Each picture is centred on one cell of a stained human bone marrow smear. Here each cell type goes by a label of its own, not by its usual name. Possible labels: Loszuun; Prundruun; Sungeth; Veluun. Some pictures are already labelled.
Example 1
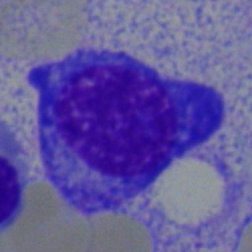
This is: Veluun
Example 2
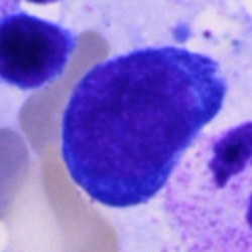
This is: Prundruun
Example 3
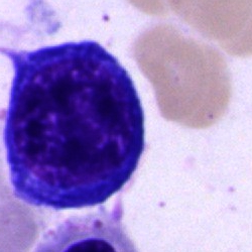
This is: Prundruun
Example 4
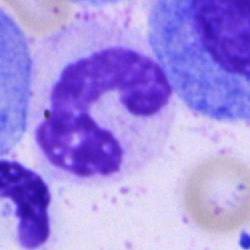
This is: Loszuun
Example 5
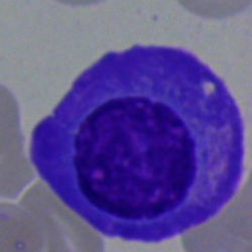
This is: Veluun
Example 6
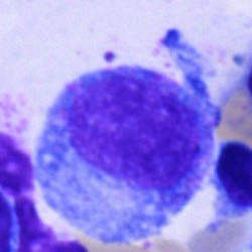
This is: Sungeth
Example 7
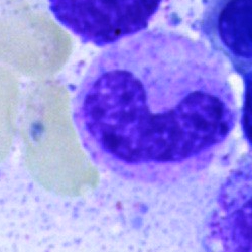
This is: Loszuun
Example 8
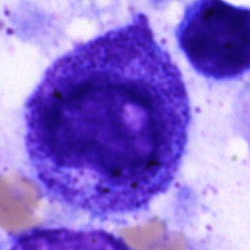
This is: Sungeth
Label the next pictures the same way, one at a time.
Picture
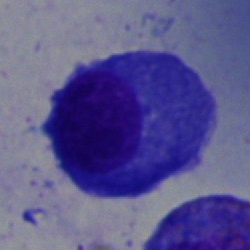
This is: Veluun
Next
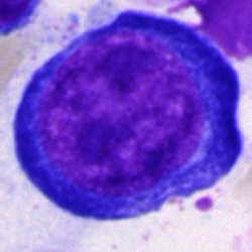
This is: Prundruun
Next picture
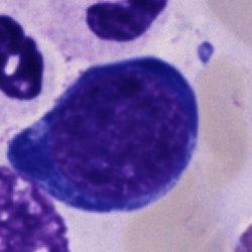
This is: Prundruun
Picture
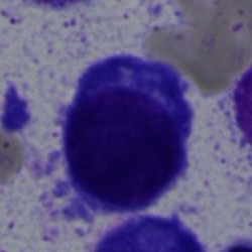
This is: Veluun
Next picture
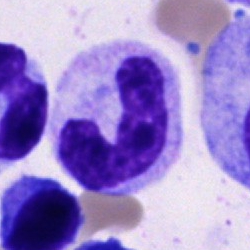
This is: Loszuun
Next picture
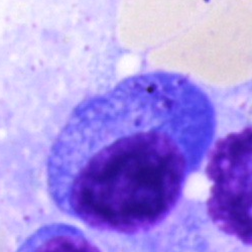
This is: Veluun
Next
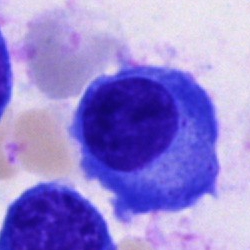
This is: Veluun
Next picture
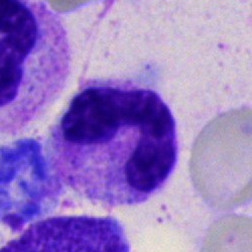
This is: Loszuun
